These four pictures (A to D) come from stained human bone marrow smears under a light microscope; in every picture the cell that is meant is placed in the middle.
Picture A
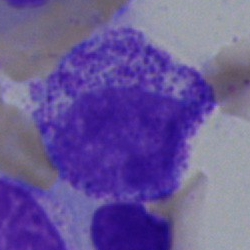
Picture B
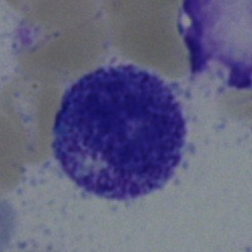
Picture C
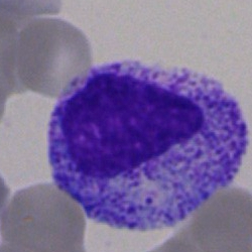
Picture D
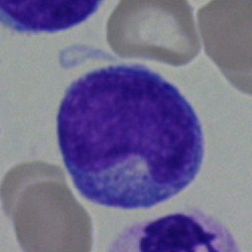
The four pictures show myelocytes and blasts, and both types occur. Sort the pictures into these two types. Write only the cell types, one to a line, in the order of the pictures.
myelocyte
myelocyte
myelocyte
blast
